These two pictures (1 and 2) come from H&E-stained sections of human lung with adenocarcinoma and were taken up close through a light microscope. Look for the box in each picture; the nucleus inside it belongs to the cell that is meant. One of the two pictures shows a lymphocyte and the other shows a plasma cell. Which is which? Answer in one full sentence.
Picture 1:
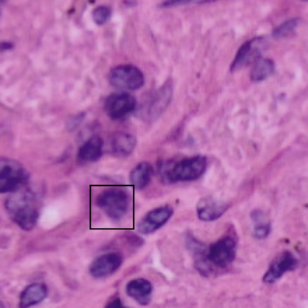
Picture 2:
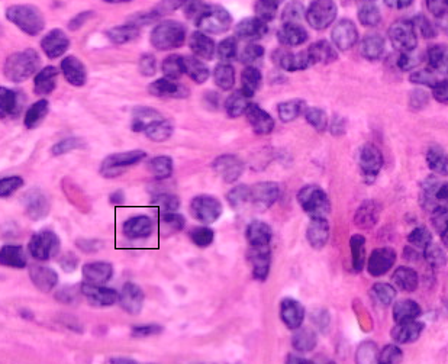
It is picture 1 that shows a plasma cell, and picture 2 that shows a lymphocyte.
